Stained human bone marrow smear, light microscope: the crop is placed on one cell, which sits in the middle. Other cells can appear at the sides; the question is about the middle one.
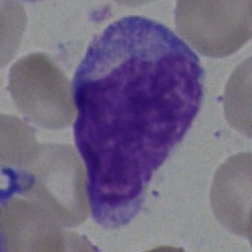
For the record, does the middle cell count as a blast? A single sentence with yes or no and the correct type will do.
Yes, the cell centred in this crop is a blast.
